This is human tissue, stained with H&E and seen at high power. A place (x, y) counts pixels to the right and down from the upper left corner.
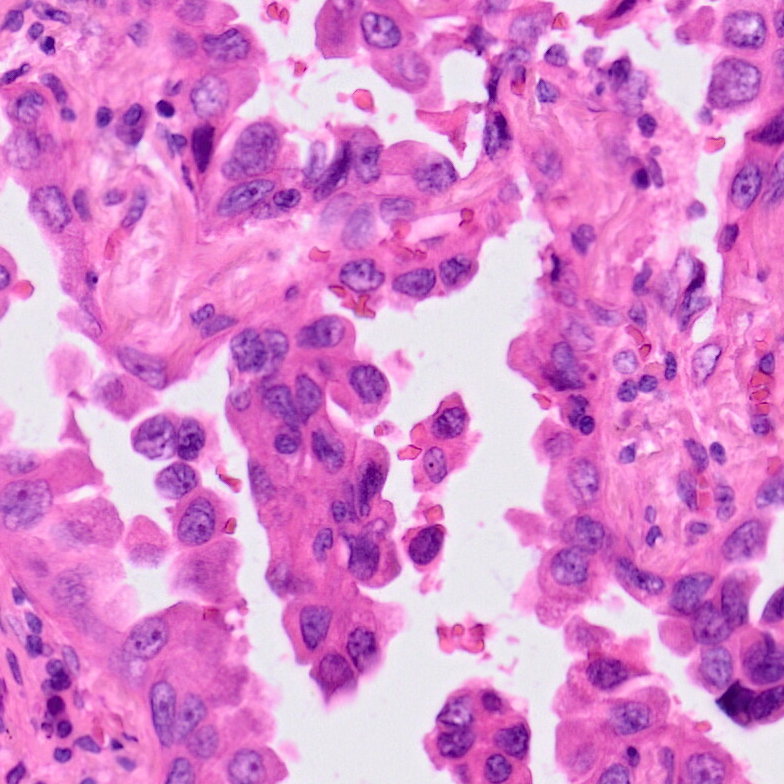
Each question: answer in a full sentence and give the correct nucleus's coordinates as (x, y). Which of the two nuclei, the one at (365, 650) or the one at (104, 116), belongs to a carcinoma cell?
Between the pair, the nucleus at (365, 650) belongs to a carcinoma cell.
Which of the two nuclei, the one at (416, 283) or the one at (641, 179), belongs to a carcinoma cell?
The pair contains one nucleus of a carcinoma cell, namely the one at (416, 283).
